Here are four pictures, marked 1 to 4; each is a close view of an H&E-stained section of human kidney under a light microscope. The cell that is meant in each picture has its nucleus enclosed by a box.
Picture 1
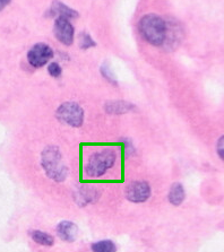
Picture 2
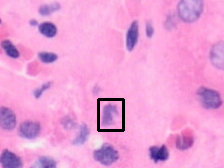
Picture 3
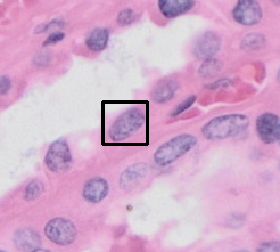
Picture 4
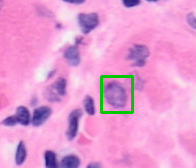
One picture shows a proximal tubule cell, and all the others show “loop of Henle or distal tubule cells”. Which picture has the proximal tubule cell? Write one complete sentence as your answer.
The cell in picture 4 is the proximal tubule cell.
